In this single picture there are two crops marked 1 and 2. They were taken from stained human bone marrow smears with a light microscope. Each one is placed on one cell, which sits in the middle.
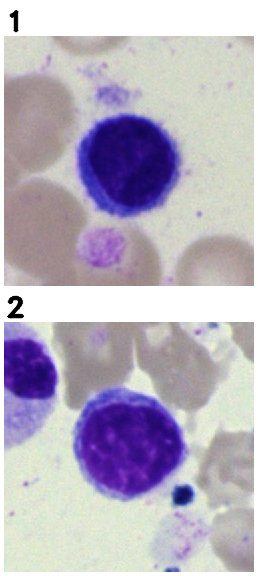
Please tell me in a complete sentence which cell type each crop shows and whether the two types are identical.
Yes, both crops show lymphocytes, each crop centred on one of them.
